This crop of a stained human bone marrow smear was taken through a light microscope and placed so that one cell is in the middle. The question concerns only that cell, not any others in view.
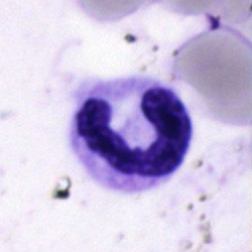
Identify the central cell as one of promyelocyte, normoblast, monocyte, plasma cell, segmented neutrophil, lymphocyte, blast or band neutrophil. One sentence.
Seen at the centre of the crop is a segmented neutrophil.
